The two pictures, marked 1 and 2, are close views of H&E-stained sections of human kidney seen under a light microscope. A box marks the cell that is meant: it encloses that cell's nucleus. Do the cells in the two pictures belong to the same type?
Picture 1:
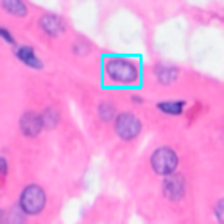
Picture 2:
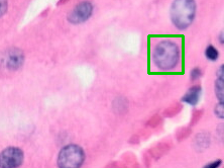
no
